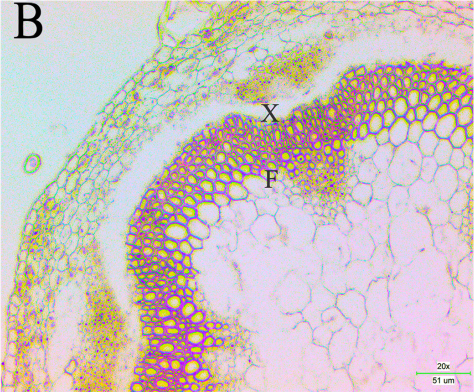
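Stem cross-section with a continuous ring of small, thick-walled cells whose walls stain magenta, enclosing a wide central region of large, thin-walled, pale polygonal cells. The ring includes groups of wider-lumened cells within bundles, with patches of small, densely packed, yellow-green granular cells on their outer side. Outside the ring lie several layers of small, thin-walled cortical cells with pale walls, partly separated from the ring by a gap.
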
